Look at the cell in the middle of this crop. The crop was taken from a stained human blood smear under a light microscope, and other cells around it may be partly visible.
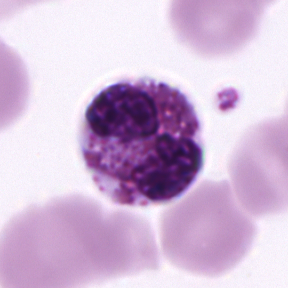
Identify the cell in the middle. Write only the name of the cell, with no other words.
eosinophil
